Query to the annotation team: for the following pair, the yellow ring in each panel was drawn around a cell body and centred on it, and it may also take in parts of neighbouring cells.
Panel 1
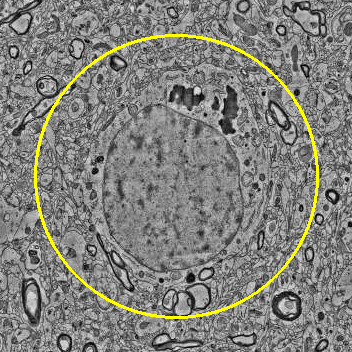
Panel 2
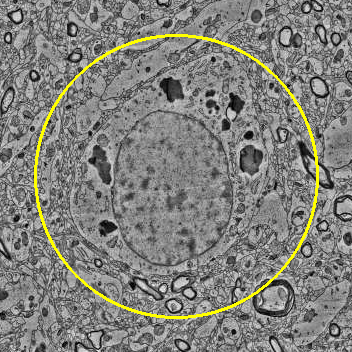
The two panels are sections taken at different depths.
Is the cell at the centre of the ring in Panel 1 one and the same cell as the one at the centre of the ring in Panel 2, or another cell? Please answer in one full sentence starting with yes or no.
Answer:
Yes, the same individual cell is enclosed by both rings.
